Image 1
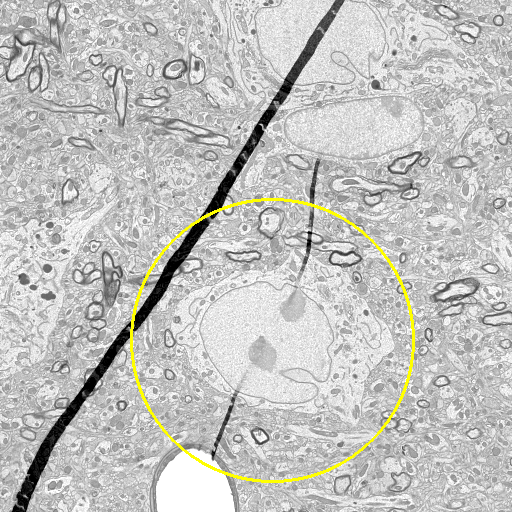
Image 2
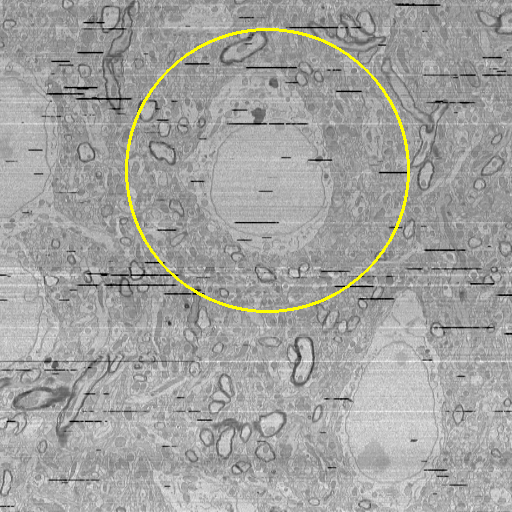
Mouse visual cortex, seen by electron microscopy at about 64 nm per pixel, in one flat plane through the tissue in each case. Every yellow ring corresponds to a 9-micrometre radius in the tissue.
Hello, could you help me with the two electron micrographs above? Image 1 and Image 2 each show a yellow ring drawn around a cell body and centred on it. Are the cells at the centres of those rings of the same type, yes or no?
yes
